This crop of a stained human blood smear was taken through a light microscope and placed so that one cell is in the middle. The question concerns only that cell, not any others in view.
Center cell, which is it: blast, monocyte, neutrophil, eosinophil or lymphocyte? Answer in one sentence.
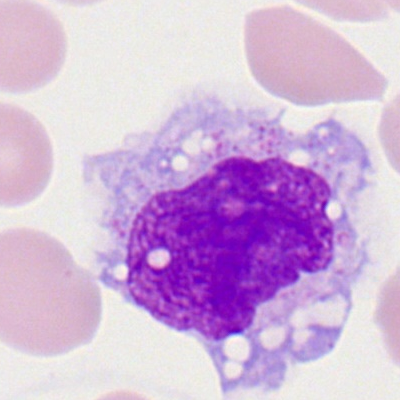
The single cell at the center of the crop is a monocyte.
